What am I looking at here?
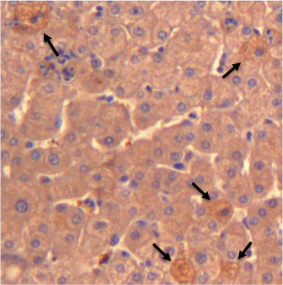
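Liver tissue with cords of large polygonal hepatocytes separated by pale sinusoidal spaces, each hepatocyte having a round blue nucleus and a light brown cytoplasm. Scattered among them, several hepatocytes stand out with a deeper, more rounded brown cytoplasmic staining. Smaller blue nuclei lie along the sinusoids.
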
